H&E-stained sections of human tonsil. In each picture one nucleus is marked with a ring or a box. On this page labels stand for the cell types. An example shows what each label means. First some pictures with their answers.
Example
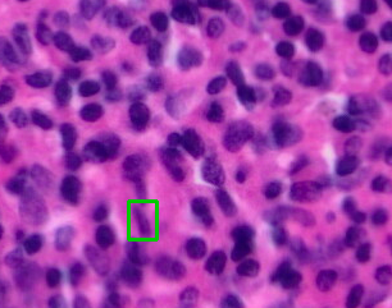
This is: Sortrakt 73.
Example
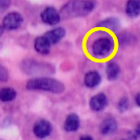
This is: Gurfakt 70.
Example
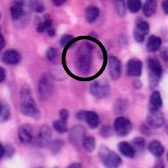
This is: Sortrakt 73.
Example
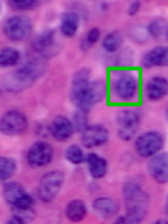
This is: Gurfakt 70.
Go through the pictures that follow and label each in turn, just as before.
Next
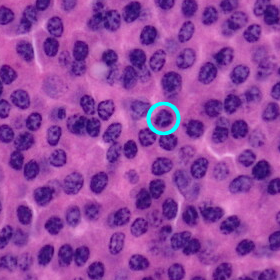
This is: Gurfakt 70.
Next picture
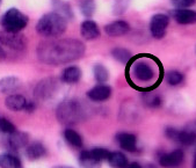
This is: Sortrakt 73.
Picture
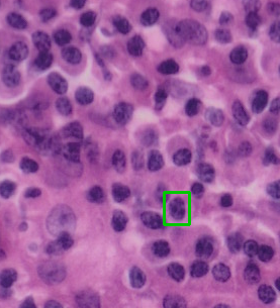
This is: Gurfakt 70.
